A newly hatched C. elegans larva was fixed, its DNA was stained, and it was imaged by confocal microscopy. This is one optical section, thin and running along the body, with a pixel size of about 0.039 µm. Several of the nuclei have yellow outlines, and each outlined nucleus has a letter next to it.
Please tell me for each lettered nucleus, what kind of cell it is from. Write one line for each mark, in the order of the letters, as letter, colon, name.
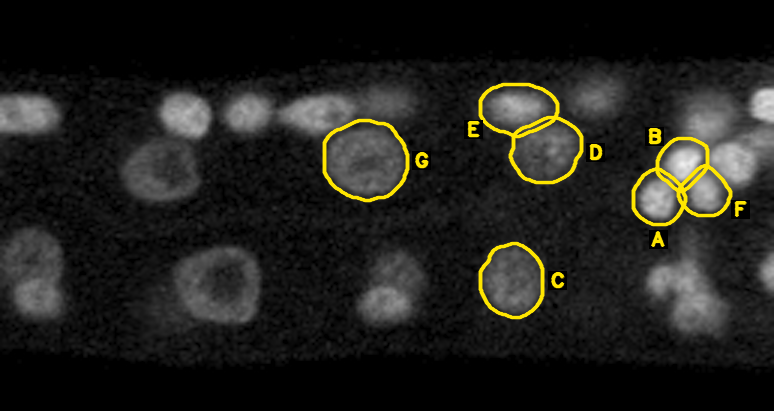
A: pharyngeal muscle cell
B: valve cell of the gut
C: intestinal cell
D: intestinal cell
E: neuron
F: valve cell of the gut
G: intestinal cell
